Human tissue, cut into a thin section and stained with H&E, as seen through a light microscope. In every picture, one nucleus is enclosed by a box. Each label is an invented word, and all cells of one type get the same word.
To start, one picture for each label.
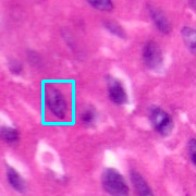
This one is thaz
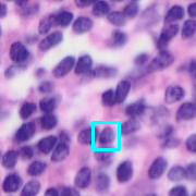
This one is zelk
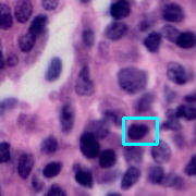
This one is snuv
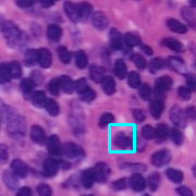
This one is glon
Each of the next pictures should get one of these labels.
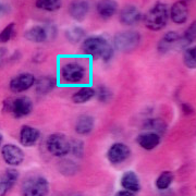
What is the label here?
snuv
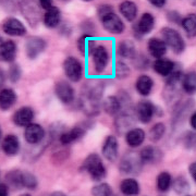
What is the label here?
zelk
